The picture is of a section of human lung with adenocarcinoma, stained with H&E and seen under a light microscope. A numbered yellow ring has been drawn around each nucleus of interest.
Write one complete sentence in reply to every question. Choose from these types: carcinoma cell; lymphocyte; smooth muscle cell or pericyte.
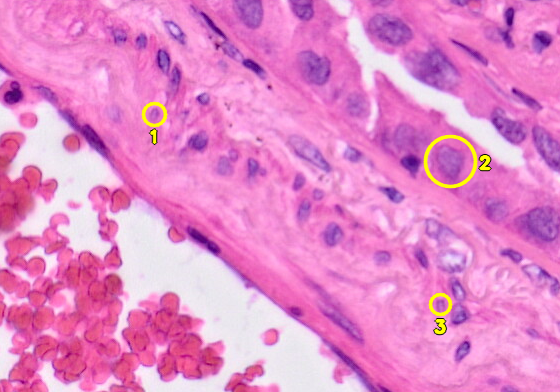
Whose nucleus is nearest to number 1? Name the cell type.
Number 1 lies closest to the nucleus of a smooth muscle cell or pericyte.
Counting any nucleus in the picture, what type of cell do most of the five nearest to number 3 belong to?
The majority of the five nuclei closest to number 3 belong to smooth muscle cells or pericytes.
